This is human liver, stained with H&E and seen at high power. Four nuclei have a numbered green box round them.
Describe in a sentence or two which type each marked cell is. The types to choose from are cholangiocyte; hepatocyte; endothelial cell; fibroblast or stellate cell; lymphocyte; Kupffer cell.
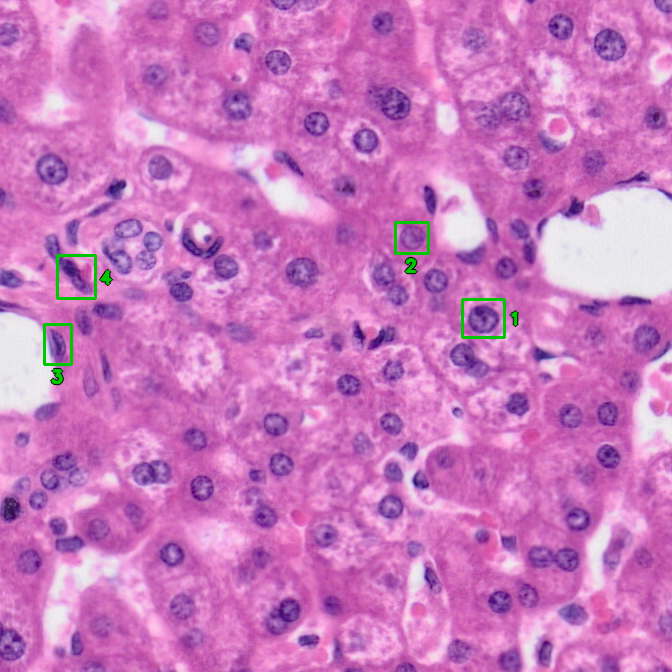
Cells 1 and 2 are hepatocytes. Cells 3 and 4 are fibroblasts or stellate cells.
